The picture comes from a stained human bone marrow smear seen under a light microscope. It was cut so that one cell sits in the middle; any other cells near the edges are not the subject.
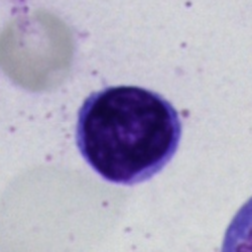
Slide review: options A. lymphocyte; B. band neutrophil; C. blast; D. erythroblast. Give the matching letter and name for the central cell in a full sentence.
That the central cell is a lymphocyte makes option A correct.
